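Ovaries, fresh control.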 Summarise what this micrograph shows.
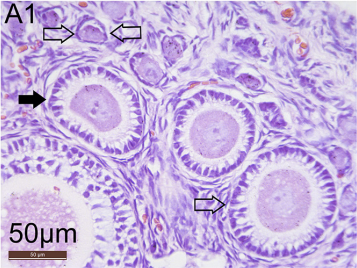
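This is ovarian cortex with follicles at several stages set in a stroma of spindle-shaped cells. The larger follicles each hold a round oocyte with pale pink cytoplasm, circled by a clear band and then a single ring of tall granulosa cells whose purple nuclei line up radially like spokes. Along the top edge lie much smaller follicles with small oocytes and no such ring of tall cells. Between the follicles the stromal cells are elongated with dark, slender nuclei.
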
